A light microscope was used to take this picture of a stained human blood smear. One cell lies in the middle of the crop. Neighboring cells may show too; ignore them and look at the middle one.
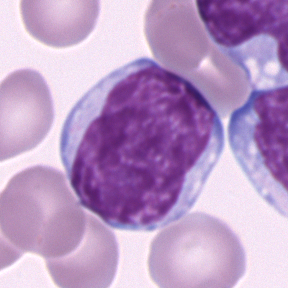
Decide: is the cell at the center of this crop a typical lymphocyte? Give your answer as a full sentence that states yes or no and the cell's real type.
No, that is not a typical lymphocyte; the middle cell is a myeloblast.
